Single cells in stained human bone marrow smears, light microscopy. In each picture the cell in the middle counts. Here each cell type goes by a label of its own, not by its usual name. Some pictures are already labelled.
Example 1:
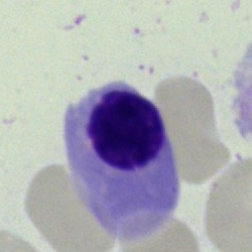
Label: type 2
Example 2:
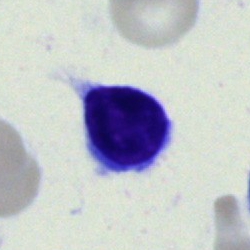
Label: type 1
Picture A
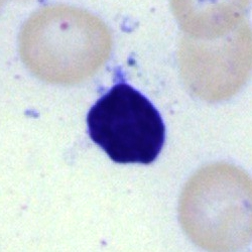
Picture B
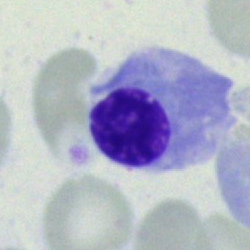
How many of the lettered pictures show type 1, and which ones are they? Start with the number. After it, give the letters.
Count: 1 (A)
